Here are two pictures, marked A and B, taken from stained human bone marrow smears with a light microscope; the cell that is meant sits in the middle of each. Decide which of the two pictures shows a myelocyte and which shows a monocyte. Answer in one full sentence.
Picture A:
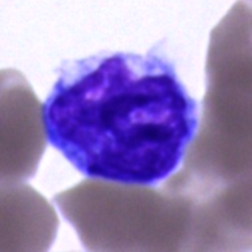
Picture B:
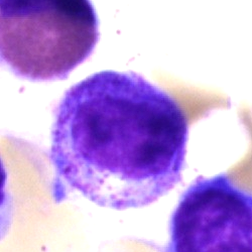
It is picture A that shows a monocyte, and picture B that shows a myelocyte.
